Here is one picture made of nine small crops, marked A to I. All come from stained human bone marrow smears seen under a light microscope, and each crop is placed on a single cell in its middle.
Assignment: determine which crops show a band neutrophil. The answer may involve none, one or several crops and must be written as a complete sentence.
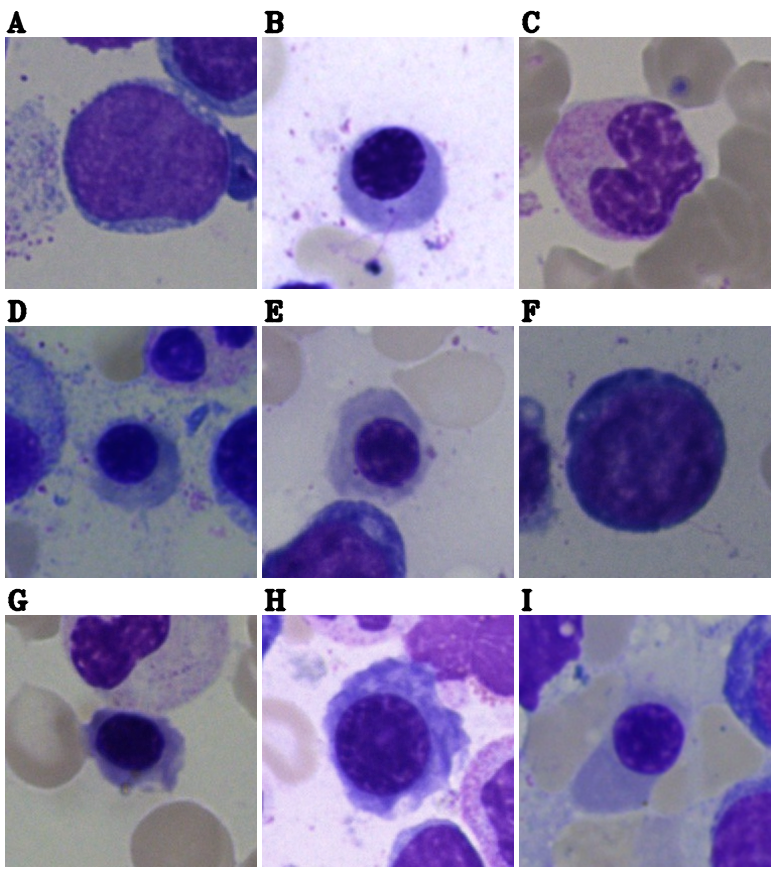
Just one crop, crop C, shows a band neutrophil.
